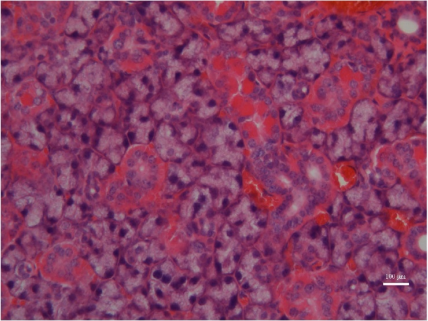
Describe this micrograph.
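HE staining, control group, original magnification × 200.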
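This is salivary gland tissue made up of tightly packed glandular acini and ducts. The acinar cells have pale, finely vacuolated, pinkish-purple cytoplasm with darker nuclei pushed toward the base of each cell. Scattered among the acini are duct profiles lined by cells with brighter pink cytoplasm around small lumina. Small vessels containing red blood cells appear as bright red patches between the glandular units, and no dense clusters of small dark round cells are seen.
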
